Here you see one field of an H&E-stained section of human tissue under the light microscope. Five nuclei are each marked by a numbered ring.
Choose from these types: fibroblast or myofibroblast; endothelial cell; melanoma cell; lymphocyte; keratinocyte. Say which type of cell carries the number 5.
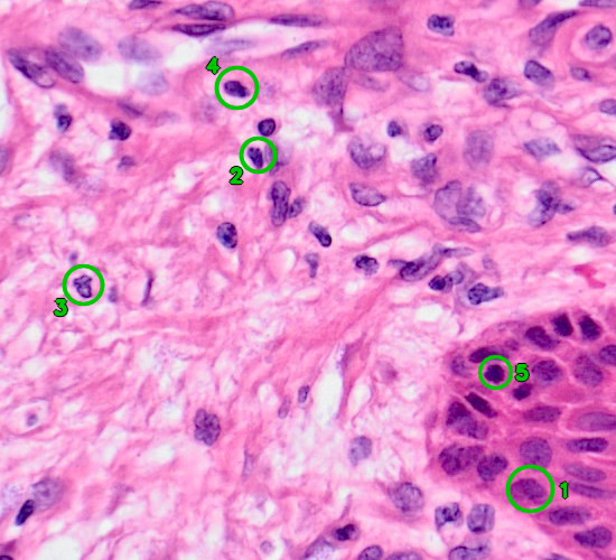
keratinocyte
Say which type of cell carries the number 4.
lymphocyte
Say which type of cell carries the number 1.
keratinocyte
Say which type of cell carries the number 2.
lymphocyte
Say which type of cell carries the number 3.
lymphocyte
